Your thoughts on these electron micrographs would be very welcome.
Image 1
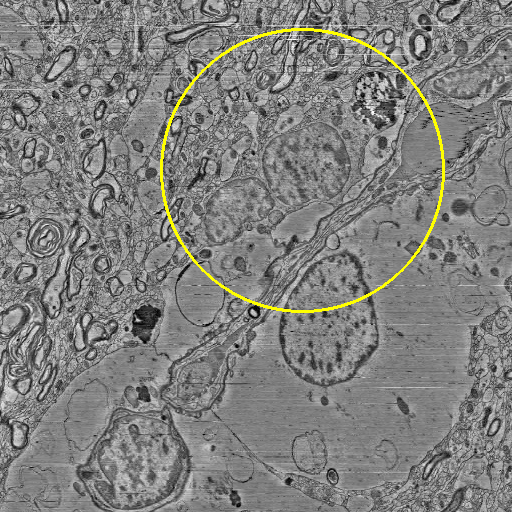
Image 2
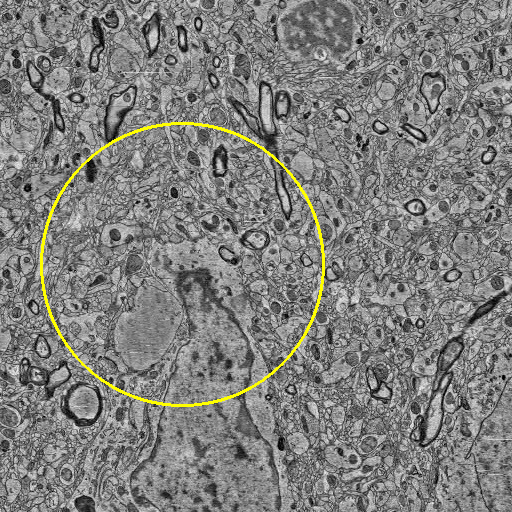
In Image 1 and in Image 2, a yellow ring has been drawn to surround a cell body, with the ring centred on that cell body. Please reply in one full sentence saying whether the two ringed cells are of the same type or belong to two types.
The ringed cells in Image 1 and Image 2 belong to two types.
